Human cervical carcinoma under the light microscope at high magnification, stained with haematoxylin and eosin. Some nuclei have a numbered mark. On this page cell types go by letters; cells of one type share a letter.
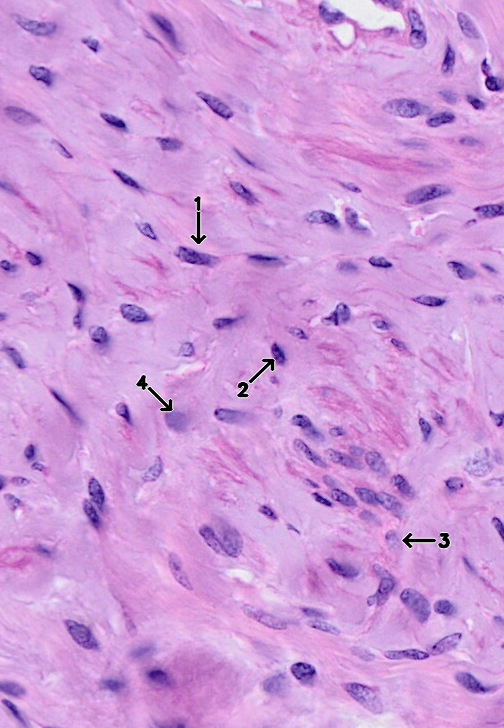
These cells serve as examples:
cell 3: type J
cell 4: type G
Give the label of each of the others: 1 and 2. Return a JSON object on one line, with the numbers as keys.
{"1": "type G", "2": "type G"}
